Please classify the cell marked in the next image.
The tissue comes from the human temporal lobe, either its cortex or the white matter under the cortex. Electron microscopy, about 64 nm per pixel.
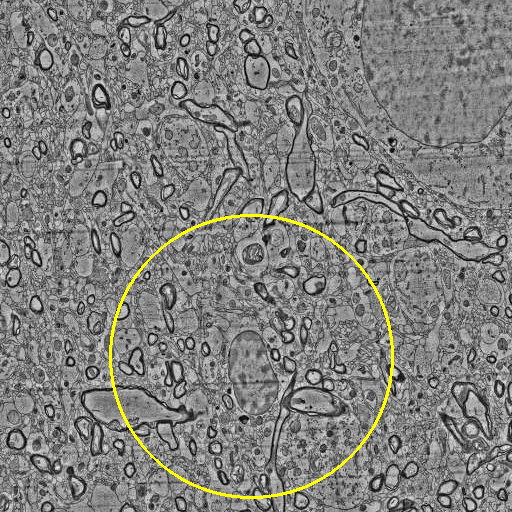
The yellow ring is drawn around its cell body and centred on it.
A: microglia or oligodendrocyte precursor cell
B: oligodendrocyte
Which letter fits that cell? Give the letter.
A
